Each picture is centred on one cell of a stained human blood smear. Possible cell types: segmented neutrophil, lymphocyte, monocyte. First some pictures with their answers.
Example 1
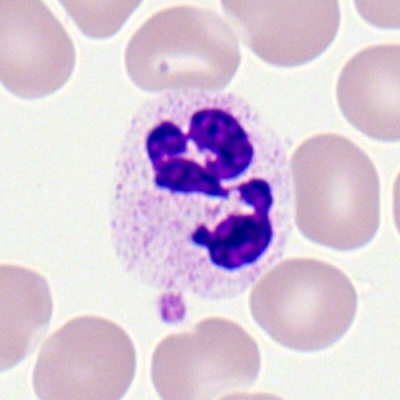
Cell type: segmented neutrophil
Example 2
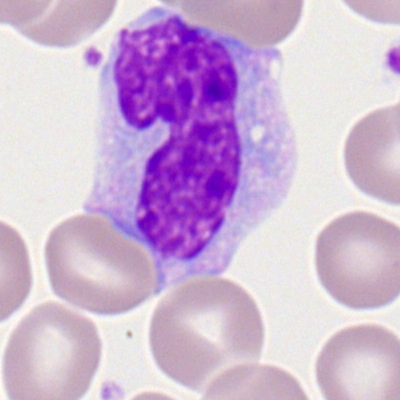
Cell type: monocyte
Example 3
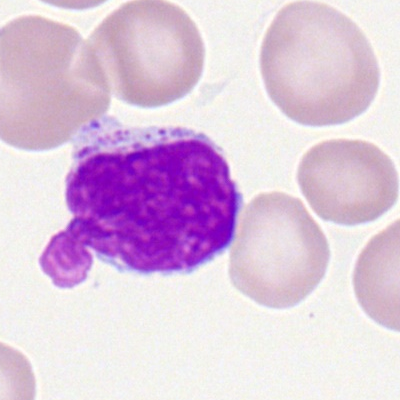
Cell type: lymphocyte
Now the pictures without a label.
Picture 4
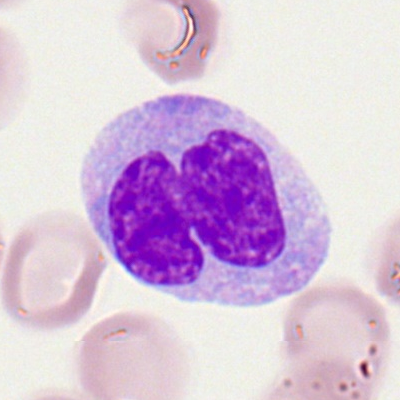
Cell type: monocyte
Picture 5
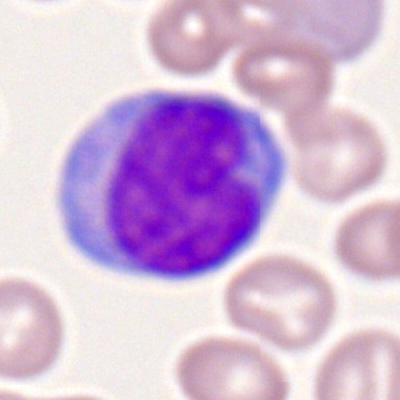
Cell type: monocyte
